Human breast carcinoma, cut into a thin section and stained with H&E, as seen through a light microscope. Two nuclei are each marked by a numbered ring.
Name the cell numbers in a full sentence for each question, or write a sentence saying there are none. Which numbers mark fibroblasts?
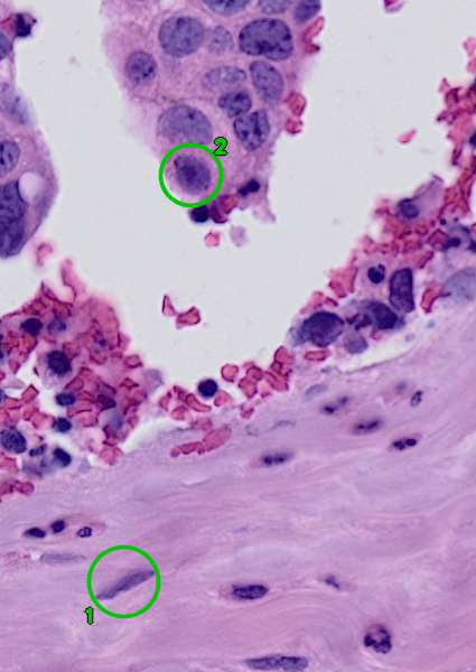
As for the numbered cells, only cell 1 is a fibroblast.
